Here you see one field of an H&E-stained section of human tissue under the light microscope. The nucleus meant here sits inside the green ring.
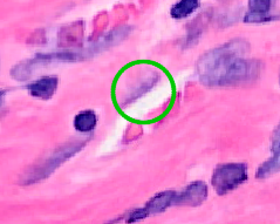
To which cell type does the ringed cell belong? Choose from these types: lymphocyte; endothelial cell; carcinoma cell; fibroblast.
endothelial cell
